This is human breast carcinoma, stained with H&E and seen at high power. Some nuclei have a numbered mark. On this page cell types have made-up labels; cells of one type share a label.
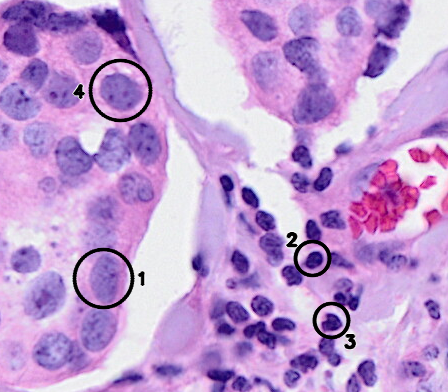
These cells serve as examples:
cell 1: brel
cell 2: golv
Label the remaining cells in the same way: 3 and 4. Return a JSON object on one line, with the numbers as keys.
{"3": "golv", "4": "brel"}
